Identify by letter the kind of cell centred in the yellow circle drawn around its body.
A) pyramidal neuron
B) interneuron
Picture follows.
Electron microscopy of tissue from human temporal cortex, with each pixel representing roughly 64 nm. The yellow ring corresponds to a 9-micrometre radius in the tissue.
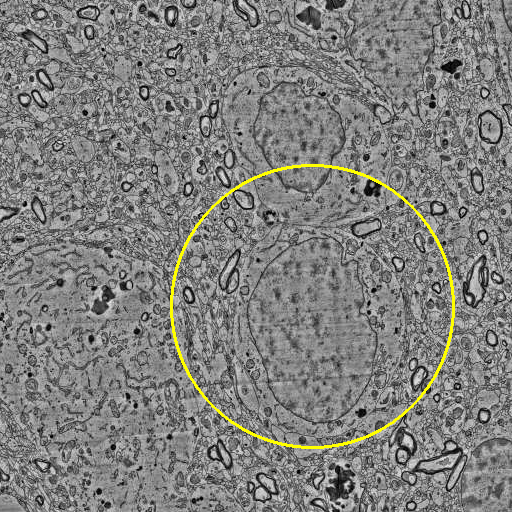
A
